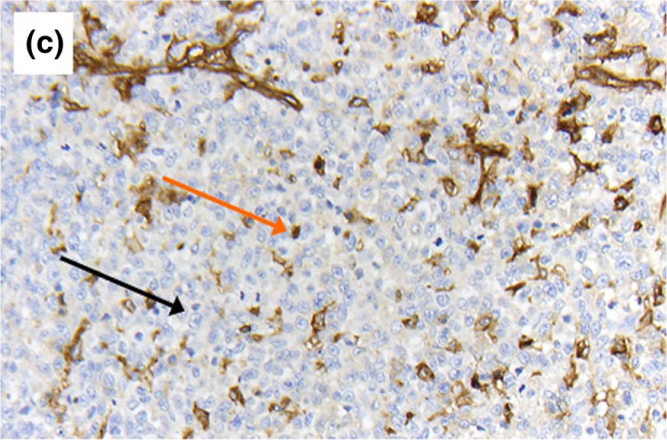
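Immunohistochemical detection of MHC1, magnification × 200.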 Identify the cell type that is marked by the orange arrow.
inflammatory cells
